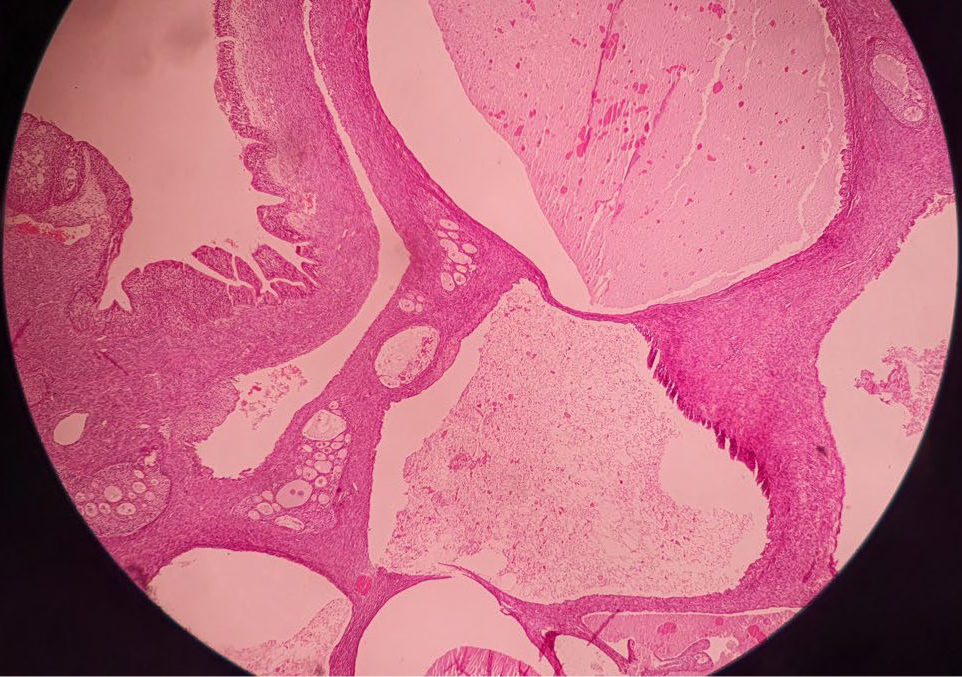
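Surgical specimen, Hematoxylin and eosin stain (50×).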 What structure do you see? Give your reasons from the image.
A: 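Several large rounded and angular spaces separated by pink fibrous septa. Many smaller round spaces cluster within the septa. On this evidence: multiple cystic spaces.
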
